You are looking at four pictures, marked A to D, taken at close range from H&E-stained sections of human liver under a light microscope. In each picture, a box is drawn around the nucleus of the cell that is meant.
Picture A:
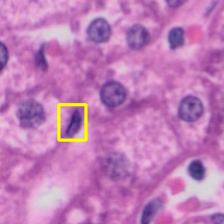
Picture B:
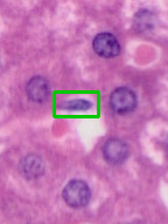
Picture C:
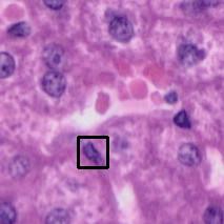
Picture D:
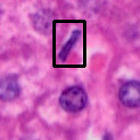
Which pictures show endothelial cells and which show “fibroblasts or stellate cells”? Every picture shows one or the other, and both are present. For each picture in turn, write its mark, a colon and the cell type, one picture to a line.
A: fibroblast or stellate cell
B: endothelial cell
C: fibroblast or stellate cell
D: endothelial cell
